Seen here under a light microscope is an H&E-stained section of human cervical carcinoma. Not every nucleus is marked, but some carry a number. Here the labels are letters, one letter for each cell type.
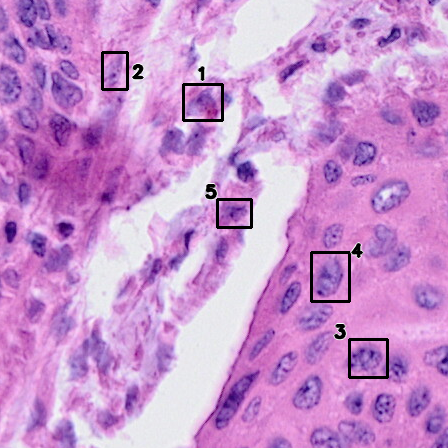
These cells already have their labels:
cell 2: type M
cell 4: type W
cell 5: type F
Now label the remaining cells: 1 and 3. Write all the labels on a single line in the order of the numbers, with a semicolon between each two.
type M; type W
